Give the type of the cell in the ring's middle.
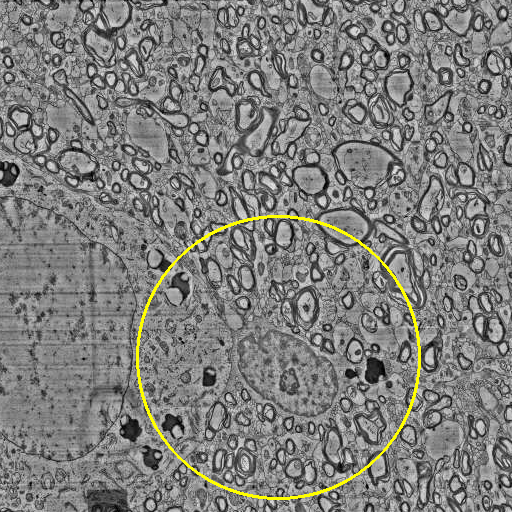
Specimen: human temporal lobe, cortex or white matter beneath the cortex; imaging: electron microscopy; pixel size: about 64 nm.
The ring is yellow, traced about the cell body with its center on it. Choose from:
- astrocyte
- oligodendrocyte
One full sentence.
Here, an oligodendrocyte is the cell lying at the center of the yellow ring.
